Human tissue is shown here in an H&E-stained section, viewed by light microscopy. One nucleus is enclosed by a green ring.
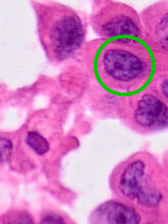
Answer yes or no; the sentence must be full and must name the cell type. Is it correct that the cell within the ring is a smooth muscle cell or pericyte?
No, the cell within the ring is best named a carcinoma cell, not a smooth muscle cell or pericyte.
